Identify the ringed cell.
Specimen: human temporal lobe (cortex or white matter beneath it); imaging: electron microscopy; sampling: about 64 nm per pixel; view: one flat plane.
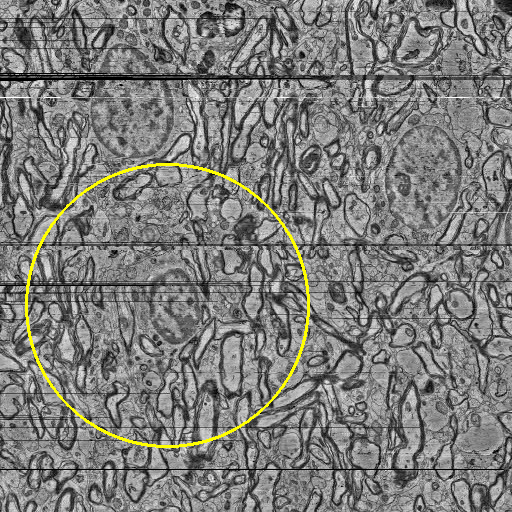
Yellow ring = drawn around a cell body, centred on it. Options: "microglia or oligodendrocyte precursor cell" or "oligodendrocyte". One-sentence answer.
What the ring is centred on is an oligodendrocyte.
